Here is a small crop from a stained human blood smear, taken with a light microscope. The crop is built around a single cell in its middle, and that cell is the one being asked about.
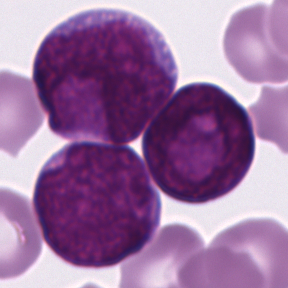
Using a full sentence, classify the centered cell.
The central cell shown in this smear crop is a myeloblast.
